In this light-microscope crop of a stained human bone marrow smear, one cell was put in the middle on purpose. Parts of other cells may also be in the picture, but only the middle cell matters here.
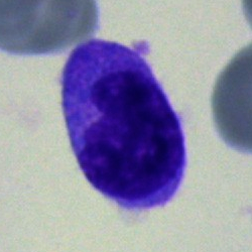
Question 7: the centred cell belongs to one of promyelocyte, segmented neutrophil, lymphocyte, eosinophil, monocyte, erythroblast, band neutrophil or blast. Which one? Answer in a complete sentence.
The cell the crop is centered on is a monocyte.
